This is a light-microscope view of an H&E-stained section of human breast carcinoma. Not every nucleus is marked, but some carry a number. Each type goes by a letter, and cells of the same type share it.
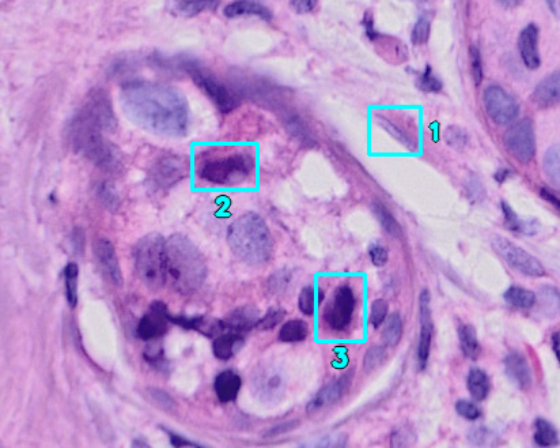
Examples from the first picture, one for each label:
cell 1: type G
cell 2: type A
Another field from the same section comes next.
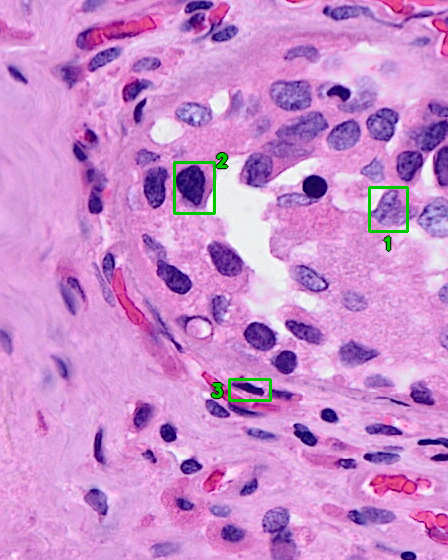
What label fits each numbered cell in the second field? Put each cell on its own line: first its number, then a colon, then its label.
1: type A
2: type A
3: type G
